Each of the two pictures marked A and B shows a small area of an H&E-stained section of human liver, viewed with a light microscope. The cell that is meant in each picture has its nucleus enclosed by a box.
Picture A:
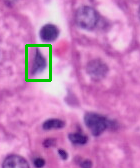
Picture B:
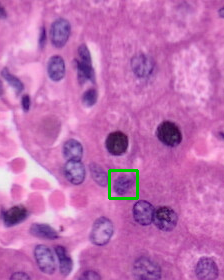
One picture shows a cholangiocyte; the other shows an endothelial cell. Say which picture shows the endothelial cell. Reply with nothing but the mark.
A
